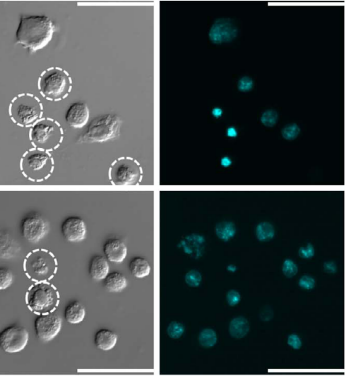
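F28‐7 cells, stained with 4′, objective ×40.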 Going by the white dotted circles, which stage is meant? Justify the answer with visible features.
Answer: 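The circled cells have irregular, bumpy outlines. Some nuclei in the fluorescence images are small and very bright. That points to this answer: apoptotic cell morphologies.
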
